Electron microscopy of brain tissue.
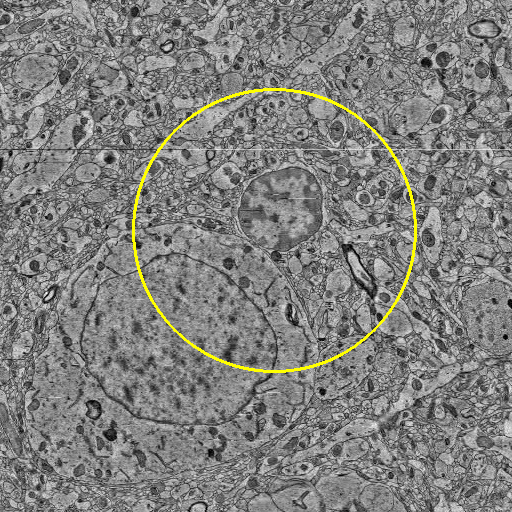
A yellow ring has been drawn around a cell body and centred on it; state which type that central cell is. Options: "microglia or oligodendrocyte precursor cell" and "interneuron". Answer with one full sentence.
The cell at the middle of the yellow ring is a microglial cell or oligodendrocyte precursor cell in this picture.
